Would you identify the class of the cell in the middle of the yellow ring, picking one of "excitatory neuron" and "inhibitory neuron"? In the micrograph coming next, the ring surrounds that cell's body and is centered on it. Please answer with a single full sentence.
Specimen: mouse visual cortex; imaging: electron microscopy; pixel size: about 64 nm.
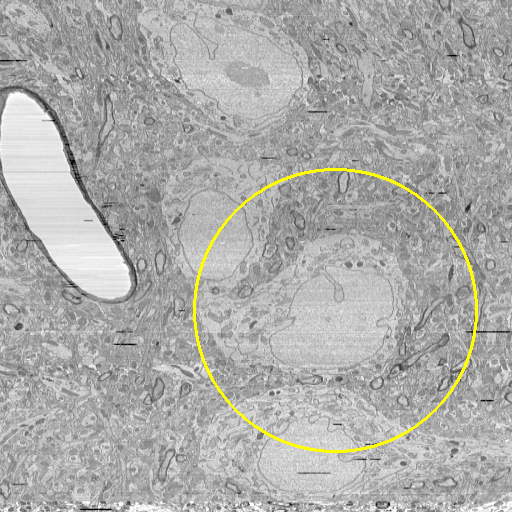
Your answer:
In the micrograph, it is an excitatory neuron whose body lies at the ring's center.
